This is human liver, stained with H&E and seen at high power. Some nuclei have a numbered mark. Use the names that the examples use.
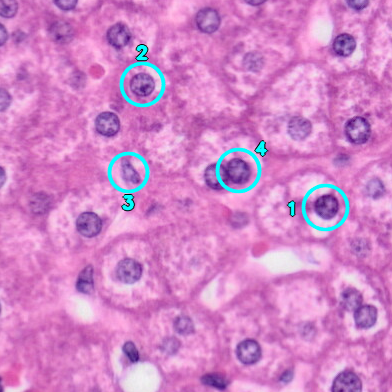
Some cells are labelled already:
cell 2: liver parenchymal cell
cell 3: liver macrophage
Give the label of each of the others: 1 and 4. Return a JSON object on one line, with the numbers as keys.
{"1": "liver parenchymal cell", "4": "liver parenchymal cell"}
